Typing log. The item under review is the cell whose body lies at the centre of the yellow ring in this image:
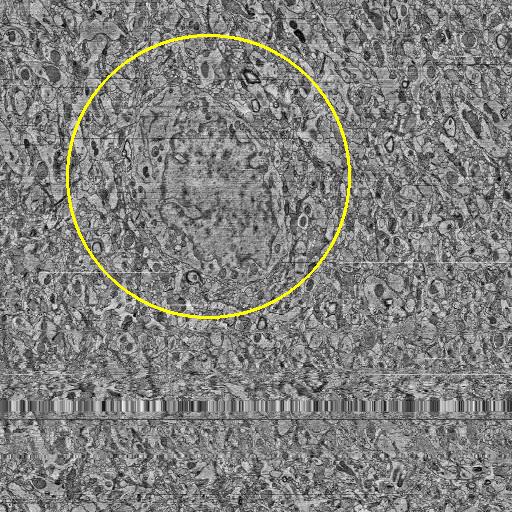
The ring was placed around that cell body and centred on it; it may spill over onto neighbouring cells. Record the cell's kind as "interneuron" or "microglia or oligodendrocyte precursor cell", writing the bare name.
interneuron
